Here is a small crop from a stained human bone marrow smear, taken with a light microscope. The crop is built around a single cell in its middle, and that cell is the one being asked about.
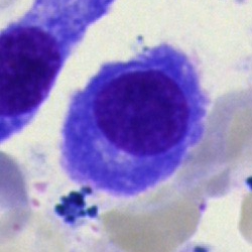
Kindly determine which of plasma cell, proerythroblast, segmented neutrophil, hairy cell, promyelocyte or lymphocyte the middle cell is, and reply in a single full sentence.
Answering briefly, the cell in the middle is a plasma cell.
